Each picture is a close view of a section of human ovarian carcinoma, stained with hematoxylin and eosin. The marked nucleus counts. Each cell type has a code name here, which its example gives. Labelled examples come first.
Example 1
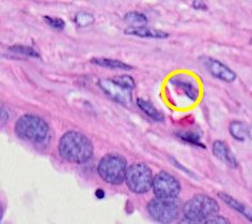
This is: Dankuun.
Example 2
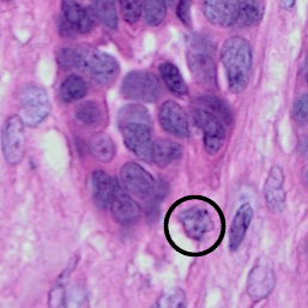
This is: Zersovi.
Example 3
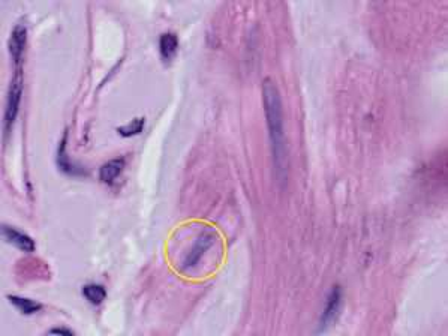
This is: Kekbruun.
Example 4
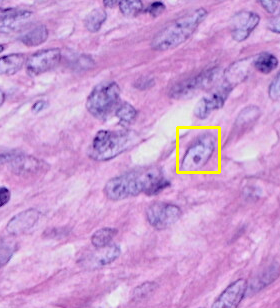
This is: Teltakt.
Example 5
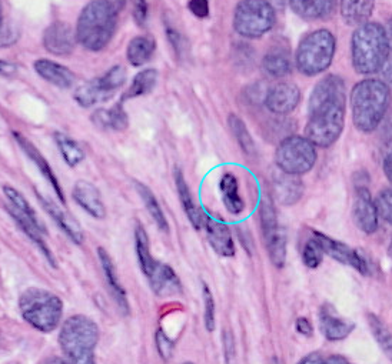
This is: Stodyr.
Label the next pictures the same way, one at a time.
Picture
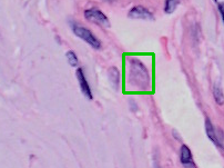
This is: Dankuun.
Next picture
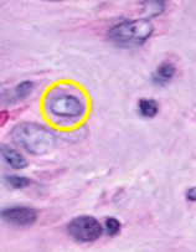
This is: Dankuun.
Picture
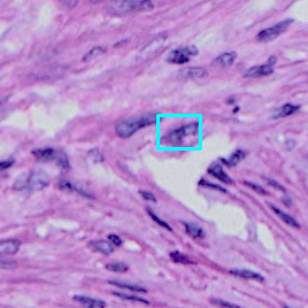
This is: Teltakt.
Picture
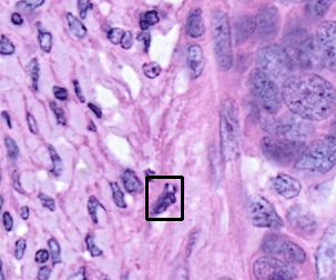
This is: Stodyr.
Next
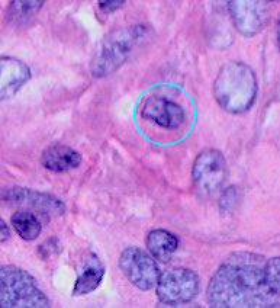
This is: Zersovi.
